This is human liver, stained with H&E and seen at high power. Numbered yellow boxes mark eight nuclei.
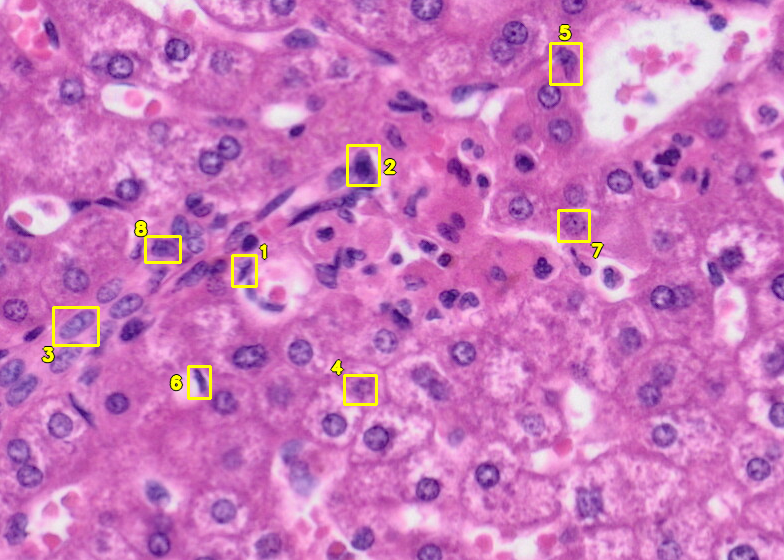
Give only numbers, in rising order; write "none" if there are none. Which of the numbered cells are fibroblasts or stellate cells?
1, 2, 5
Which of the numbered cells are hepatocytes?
4, 7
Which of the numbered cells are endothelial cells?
6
